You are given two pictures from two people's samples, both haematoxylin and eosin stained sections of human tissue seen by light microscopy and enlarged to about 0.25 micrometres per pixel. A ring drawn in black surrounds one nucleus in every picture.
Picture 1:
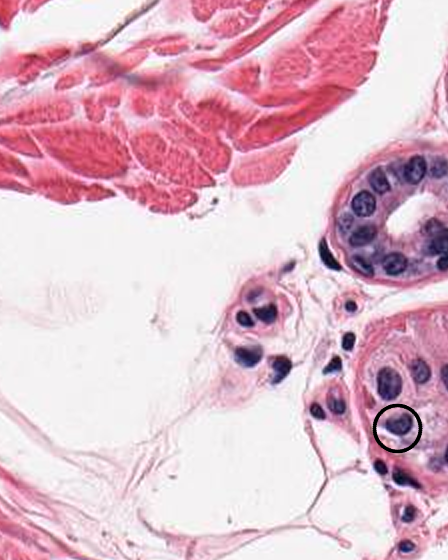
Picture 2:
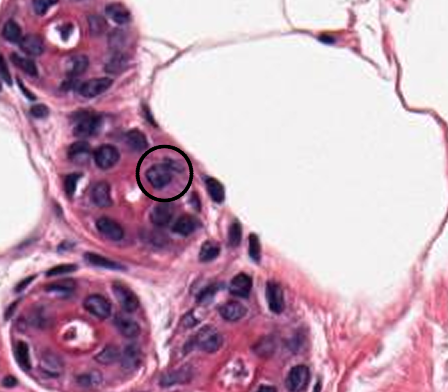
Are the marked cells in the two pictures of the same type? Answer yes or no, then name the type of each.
Yes, both are sweat gland cells.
